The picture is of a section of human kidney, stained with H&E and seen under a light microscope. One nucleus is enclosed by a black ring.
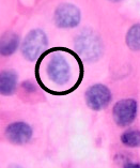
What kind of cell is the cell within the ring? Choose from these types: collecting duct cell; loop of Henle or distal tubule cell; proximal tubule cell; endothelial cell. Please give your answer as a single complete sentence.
For the purposes of cell typing, the cell within the ring is categorized as a collecting duct cell.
